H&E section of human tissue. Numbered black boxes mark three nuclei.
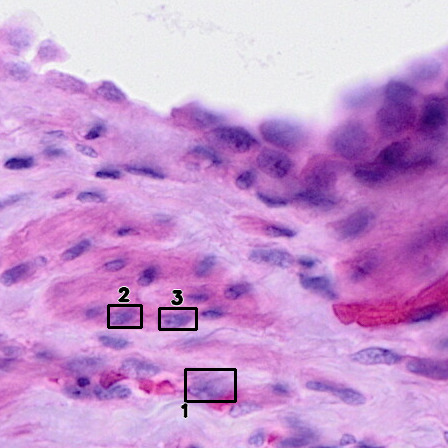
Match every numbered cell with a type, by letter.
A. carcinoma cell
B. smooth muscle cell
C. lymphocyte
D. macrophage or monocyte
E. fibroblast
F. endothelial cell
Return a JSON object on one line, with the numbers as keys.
{"1": "F", "2": "B", "3": "B"}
